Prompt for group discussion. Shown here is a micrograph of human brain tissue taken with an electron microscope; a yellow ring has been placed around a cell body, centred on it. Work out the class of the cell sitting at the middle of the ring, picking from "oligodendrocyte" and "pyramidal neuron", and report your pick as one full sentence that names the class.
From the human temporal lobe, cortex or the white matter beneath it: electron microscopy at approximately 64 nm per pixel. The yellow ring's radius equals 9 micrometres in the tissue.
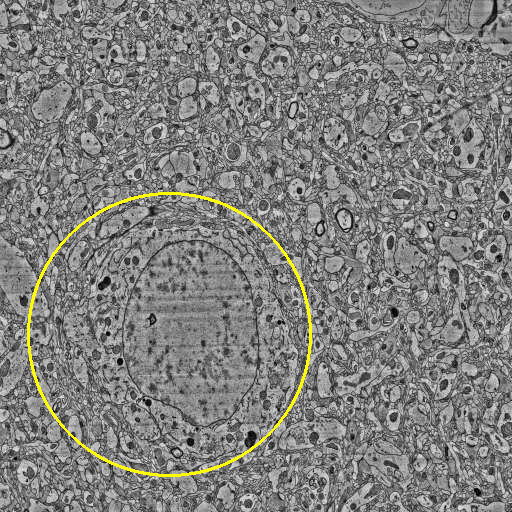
The cell sitting at the middle of the yellow ring is a pyramidal neuron.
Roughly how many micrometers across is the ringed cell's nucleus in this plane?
The nucleus has a long axis of about 12 micrometres and a short axis of about 9 micrometres in this plane.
